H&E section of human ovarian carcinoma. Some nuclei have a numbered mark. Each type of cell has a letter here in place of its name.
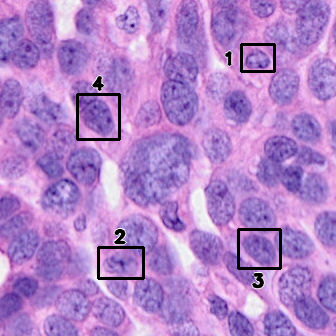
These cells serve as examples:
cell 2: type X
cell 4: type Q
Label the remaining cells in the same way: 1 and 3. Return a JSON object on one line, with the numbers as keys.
{"1": "type X", "3": "type Q"}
